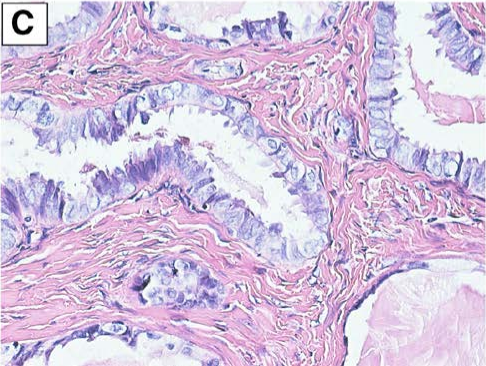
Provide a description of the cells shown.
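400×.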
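Glands lined by tall columnar glandular epithelial cells are embedded in dense pink fibrous stroma. The lumens are largely clear with some pink secretion. The stroma between glands consists of wavy pink collagen bundles with scattered small nuclei.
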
